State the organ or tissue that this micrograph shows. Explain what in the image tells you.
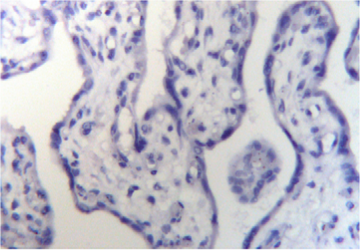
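Elongated branching villi with a loose stromal core float in empty space. Each villus is lined by a thin continuous outer layer of nuclei. That points to this answer: placenta.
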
